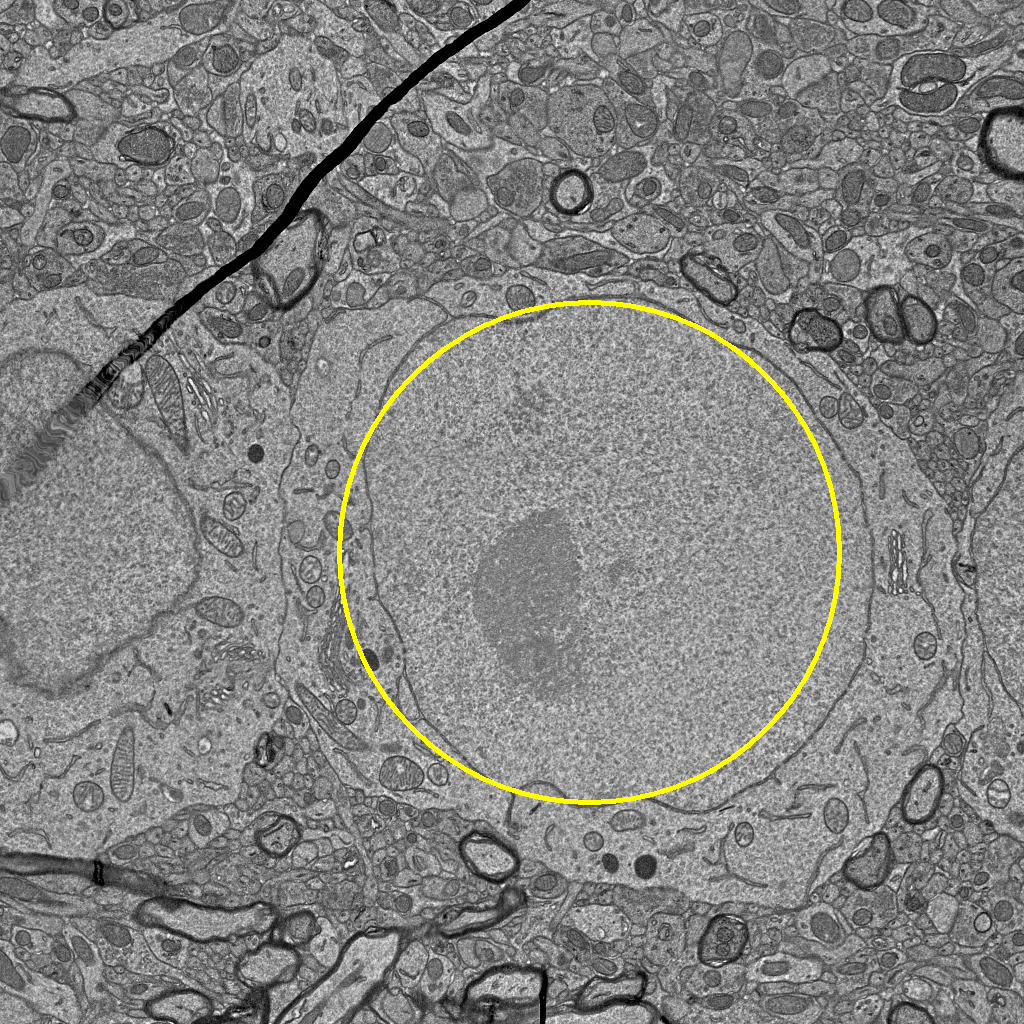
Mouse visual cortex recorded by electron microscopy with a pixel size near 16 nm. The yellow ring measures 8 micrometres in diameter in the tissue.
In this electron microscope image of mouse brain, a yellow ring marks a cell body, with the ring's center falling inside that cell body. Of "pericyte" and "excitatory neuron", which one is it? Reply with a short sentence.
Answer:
It is an excitatory neuron at the center of the ring.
